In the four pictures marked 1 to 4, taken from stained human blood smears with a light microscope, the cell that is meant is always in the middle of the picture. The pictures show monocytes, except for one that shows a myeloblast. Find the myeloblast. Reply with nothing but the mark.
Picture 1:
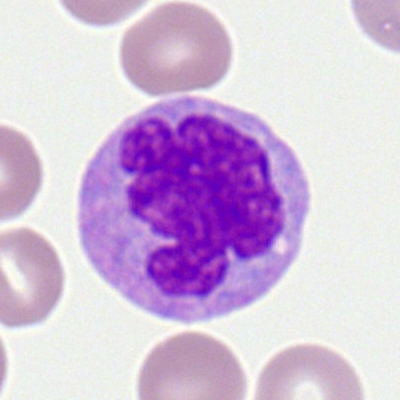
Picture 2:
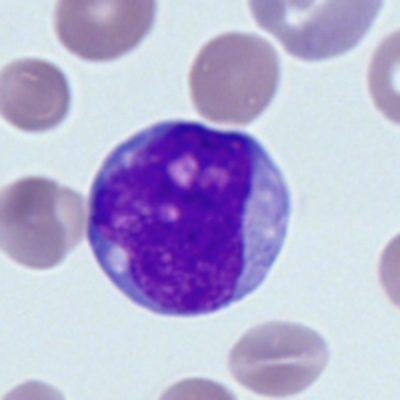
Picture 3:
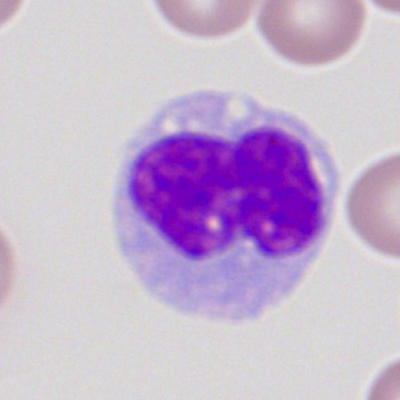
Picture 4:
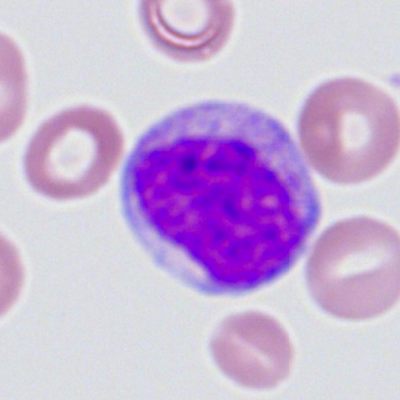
2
